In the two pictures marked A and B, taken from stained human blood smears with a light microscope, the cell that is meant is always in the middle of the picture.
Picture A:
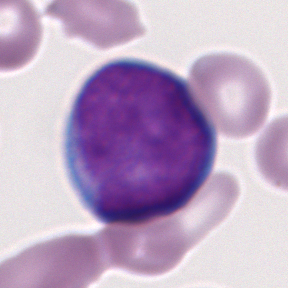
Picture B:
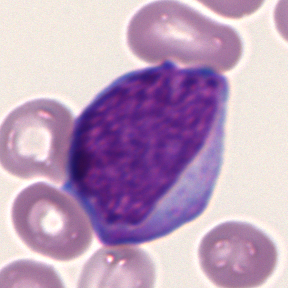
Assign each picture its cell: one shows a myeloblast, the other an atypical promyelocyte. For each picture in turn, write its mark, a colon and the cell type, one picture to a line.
A: myeloblast
B: atypical promyelocyte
